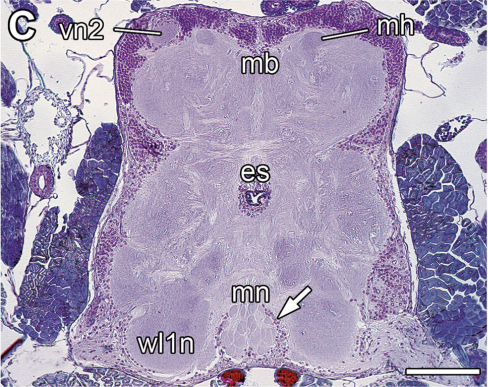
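This transverse section of the nervous system shows pale, fibrous neuropil masses bordered by a purple rind of cell bodies, with a small esophagus running through the centre. Dorsally, a thick band of densely packed nuclei caps two large neuropil lobes, and a rounded, separate neuropil sits at each dorsolateral corner. At the ventral midline a cluster of small, rounded neuropil parcels is seen, separated from each other and surrounded by a thin row of dark nuclei. Large neuropil lobes lie to either side ventrally.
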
